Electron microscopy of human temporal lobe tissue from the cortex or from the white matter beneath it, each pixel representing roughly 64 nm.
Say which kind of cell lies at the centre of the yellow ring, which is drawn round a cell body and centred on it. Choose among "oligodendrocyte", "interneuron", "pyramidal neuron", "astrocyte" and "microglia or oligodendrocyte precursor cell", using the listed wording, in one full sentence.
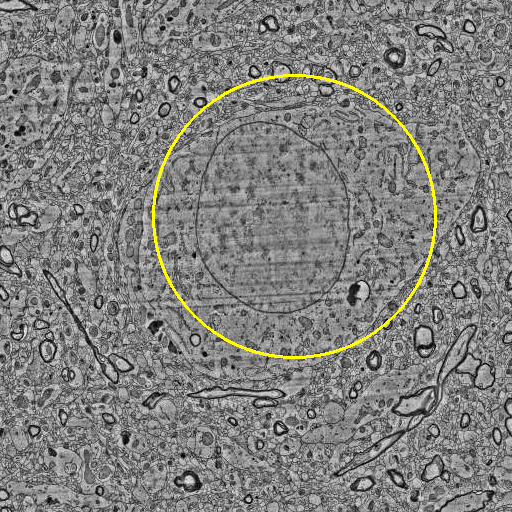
Going by the list, the cell at the yellow ring's centre is a pyramidal neuron.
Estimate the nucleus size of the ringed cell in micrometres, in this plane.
Approximately 12 micrometres long and 10 micrometres wide, in this plane.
